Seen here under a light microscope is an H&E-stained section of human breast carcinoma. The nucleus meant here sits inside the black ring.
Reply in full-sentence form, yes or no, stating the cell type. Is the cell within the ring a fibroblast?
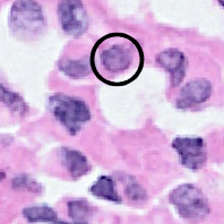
No, the cell within the ring is scored as a carcinoma cell and not as a fibroblast.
